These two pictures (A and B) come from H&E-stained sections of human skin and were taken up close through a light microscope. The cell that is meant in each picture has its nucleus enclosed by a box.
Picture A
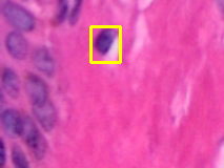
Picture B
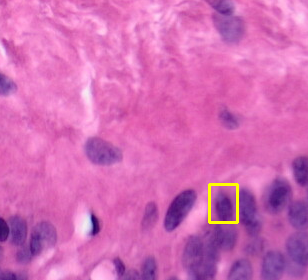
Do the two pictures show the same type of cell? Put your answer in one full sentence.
No, picture A shows a fibroblast and picture B shows a basal keratinocyte.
